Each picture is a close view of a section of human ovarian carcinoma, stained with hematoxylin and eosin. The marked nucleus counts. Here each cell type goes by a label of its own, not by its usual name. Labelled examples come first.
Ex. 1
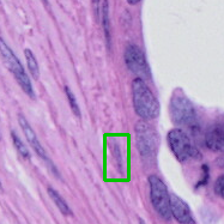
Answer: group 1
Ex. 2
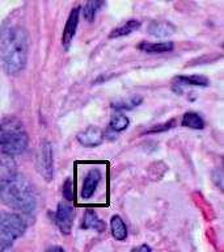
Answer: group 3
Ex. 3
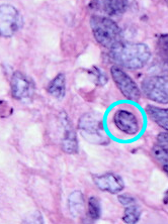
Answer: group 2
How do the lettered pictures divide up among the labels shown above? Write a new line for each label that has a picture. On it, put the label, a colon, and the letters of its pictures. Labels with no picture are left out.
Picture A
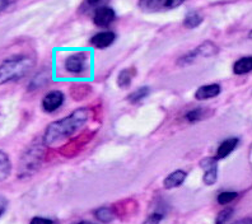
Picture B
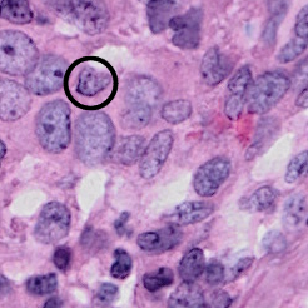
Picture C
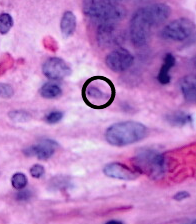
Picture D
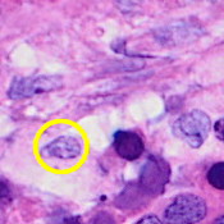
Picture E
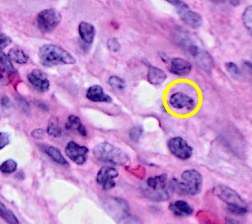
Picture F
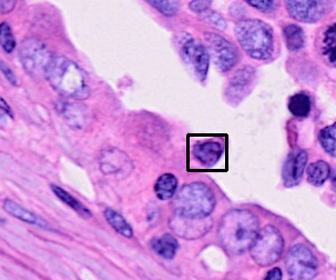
group 3: A, E
group 2: B, C, D, F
